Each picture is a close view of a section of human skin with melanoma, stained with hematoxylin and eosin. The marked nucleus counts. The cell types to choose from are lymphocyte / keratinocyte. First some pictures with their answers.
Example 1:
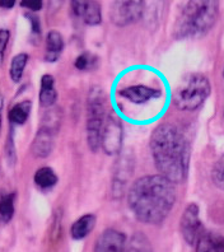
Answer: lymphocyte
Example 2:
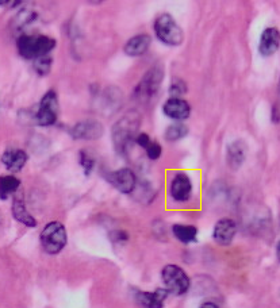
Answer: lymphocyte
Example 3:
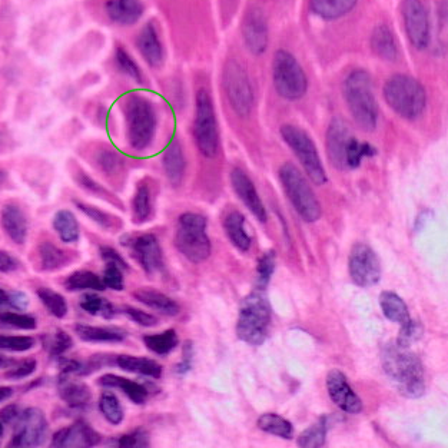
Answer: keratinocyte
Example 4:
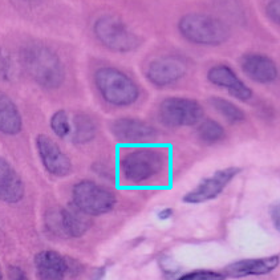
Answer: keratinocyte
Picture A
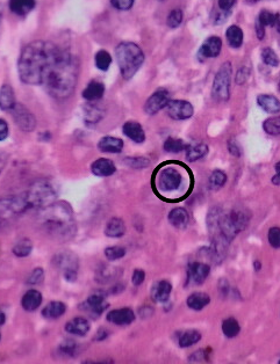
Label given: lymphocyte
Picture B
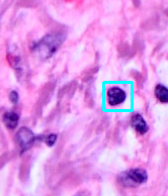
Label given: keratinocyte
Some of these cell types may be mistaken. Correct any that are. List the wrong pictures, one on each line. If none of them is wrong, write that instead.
B: lymphocyte, not keratinocyte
